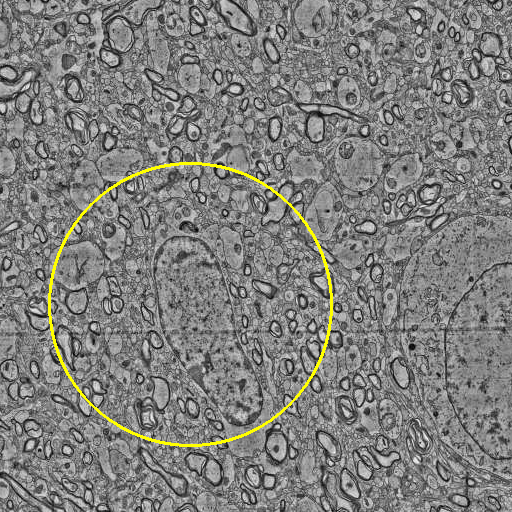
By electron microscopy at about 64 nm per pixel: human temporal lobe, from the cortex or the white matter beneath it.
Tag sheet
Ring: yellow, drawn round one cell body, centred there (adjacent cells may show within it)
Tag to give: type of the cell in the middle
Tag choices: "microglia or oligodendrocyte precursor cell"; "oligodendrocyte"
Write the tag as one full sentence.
I tag the cell centred in the yellow ring as a microglial cell or oligodendrocyte precursor cell in this picture.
